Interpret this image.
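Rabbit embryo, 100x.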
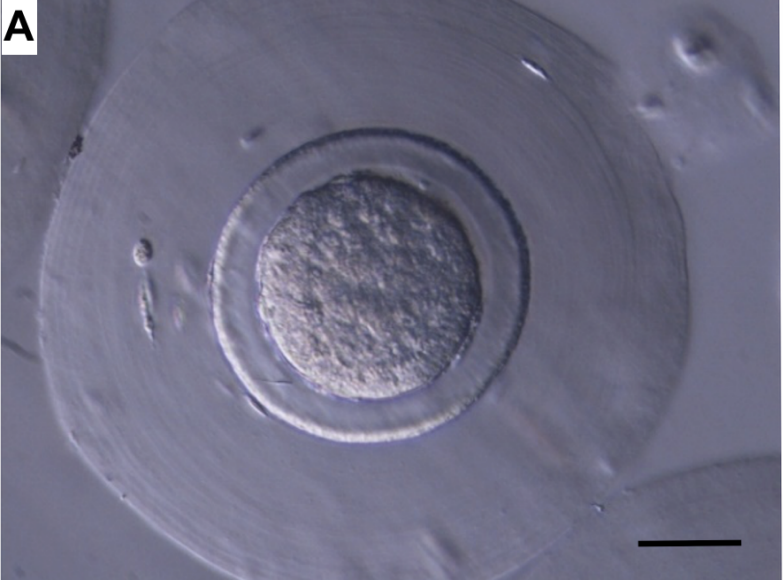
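A single round, granular cell mass sits centrally, its surface smooth and the individual cells not distinguishable, consistent with a compacted morula. Around it lies a clear ring of zona pellucida with a narrow space between it and the cell mass, and outside that a very thick, faintly concentrically layered mucin coat.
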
